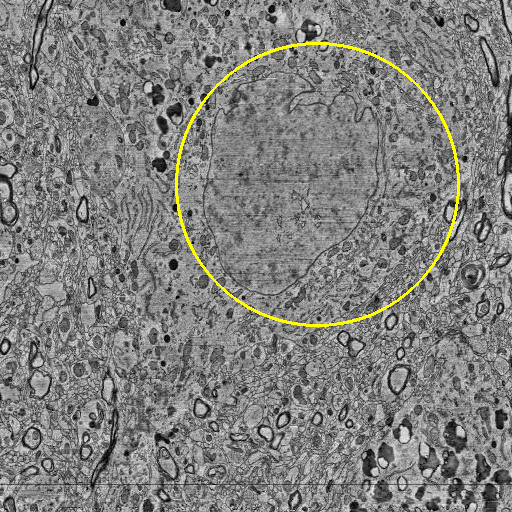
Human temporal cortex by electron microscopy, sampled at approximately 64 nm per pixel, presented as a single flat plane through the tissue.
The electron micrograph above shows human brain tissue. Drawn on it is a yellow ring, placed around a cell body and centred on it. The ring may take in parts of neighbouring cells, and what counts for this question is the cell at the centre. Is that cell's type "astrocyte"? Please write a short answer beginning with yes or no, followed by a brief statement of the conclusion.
No, its type is another one.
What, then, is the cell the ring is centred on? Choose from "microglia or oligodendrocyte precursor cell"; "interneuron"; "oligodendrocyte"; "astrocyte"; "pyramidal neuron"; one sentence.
The ring holds a pyramidal neuron at its centre.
